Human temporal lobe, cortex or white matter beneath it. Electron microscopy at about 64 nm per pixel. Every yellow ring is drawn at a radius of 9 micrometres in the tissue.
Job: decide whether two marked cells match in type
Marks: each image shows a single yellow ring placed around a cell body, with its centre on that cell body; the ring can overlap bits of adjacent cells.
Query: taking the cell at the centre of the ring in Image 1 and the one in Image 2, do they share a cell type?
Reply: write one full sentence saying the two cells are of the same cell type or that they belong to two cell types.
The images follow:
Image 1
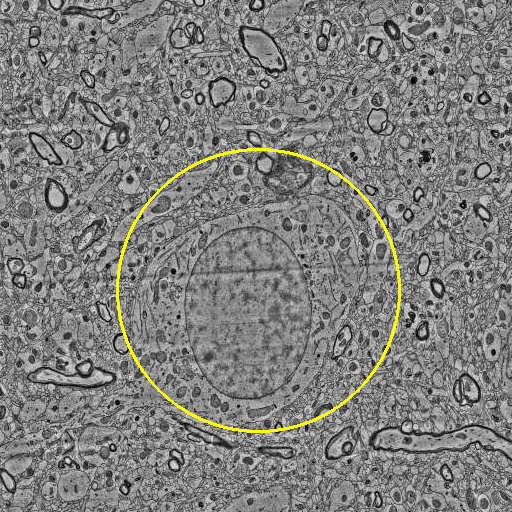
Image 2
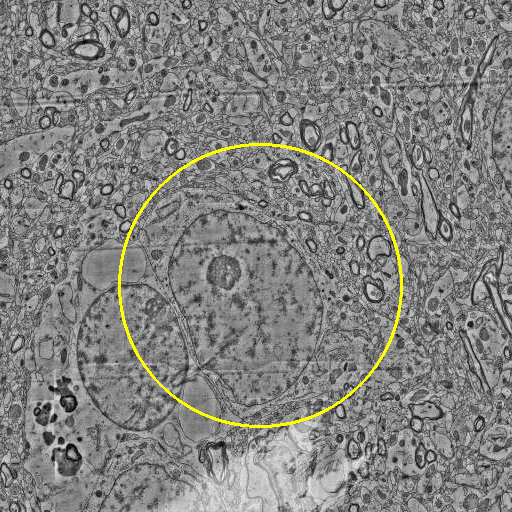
The cells at the ring centres in Image 1 and Image 2 belong to two cell types.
